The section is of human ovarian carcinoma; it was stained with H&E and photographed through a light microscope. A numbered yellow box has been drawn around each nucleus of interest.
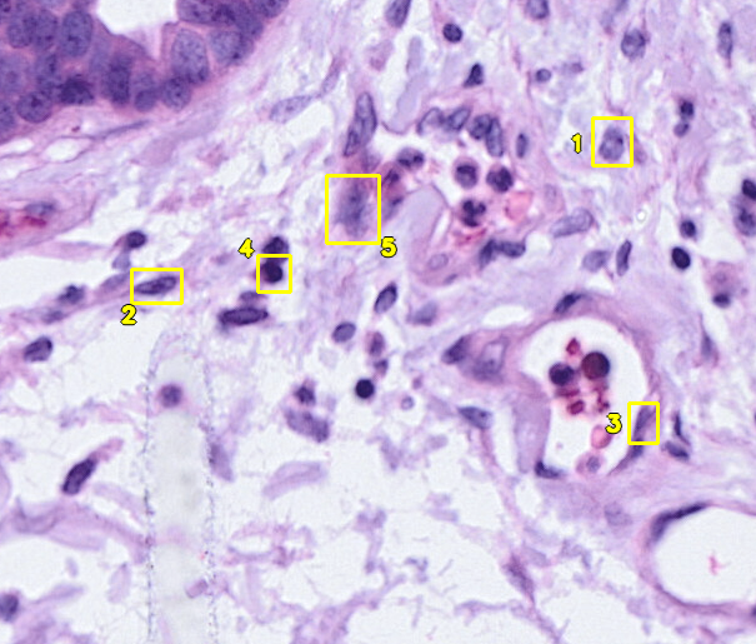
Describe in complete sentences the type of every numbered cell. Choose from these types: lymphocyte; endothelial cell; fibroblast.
Cells 1 and 2 are fibroblasts. Cells 3 and 5 are endothelial cells. Cell 4 is a lymphocyte.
